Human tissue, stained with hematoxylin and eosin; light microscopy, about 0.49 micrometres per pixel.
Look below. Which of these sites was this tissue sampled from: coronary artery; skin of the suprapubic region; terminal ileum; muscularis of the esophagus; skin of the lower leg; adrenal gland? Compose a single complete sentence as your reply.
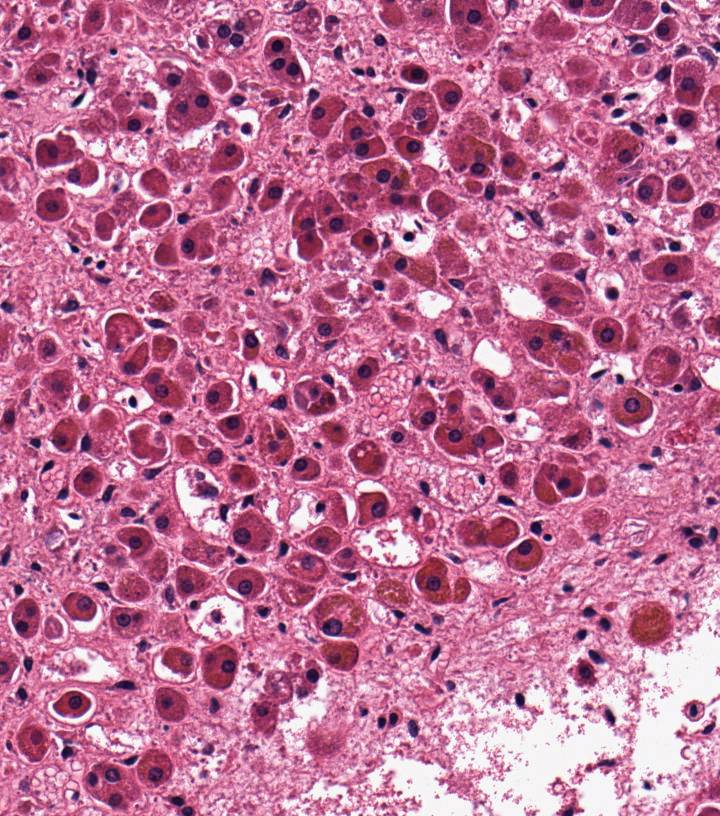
What this section contains is tissue from the adrenal gland.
